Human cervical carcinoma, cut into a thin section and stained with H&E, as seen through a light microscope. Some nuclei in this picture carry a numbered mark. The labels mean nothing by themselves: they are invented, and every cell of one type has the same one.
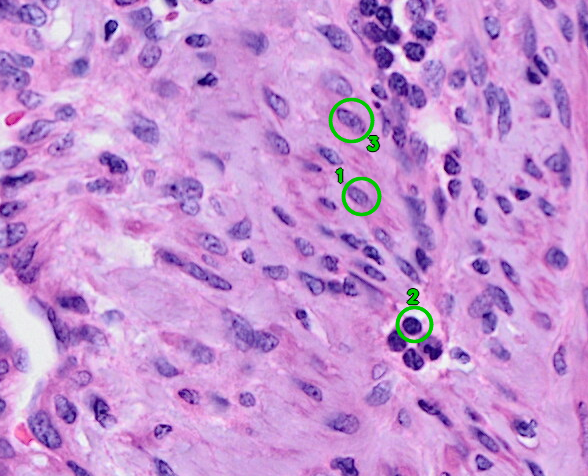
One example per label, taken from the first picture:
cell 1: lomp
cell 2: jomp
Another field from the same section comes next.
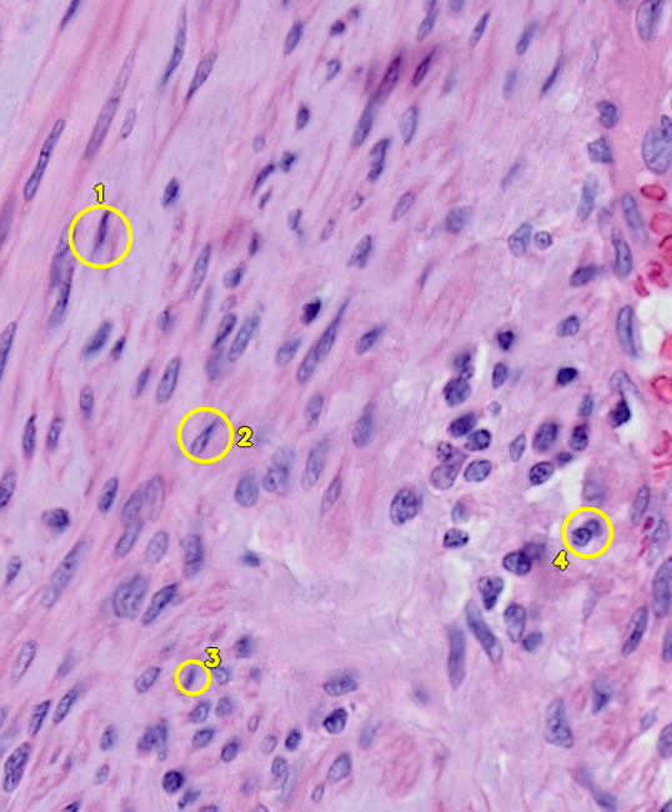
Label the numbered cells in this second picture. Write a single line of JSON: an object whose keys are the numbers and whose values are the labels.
{"1": "lomp", "2": "lomp", "3": "lomp", "4": "jomp"}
